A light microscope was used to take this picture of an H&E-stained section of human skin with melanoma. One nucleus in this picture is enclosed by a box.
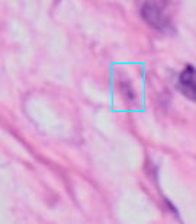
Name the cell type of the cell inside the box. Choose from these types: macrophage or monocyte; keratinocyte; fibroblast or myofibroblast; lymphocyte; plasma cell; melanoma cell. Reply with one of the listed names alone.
fibroblast or myofibroblast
